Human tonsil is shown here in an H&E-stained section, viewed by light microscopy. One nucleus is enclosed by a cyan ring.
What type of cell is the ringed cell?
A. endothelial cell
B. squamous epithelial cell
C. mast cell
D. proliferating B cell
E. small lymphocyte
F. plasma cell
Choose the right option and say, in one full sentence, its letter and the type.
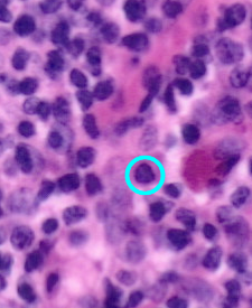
With the ringed cell being a plasma cell, option F is correct.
